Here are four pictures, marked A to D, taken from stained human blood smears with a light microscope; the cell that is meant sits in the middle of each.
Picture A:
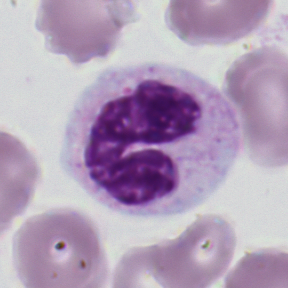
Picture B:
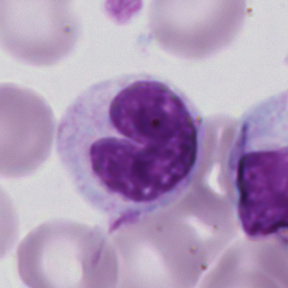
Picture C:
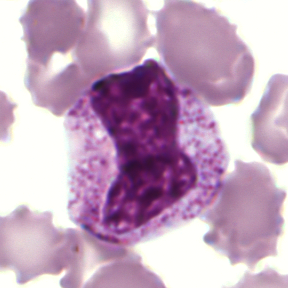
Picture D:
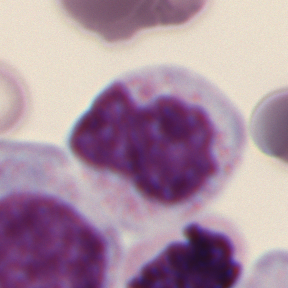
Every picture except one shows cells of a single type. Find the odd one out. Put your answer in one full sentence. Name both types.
Picture C differs, because its cell is a metamyelocyte and the rest are band neutrophils.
